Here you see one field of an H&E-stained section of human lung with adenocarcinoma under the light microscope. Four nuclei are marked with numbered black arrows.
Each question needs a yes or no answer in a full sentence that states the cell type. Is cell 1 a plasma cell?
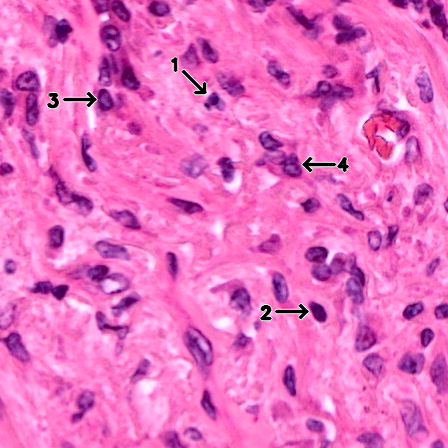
No, number 1 belongs to a lymphocyte, not to a plasma cell.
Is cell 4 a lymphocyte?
No, sorry, the cell labelled 4 is not a lymphocyte; it is a plasma cell.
